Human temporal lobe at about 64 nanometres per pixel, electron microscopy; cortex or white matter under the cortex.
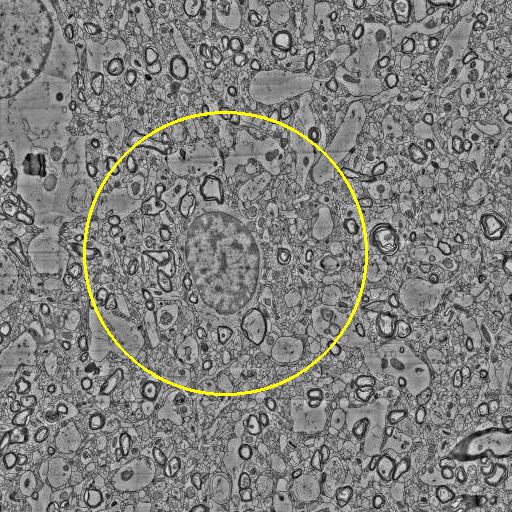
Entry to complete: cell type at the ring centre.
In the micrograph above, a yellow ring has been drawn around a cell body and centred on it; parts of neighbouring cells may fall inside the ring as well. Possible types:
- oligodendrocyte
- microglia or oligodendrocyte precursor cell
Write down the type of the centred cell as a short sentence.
The ring is centred on an oligodendrocyte.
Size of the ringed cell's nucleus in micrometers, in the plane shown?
In this plane, approximately 7 by 5 micrometers.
